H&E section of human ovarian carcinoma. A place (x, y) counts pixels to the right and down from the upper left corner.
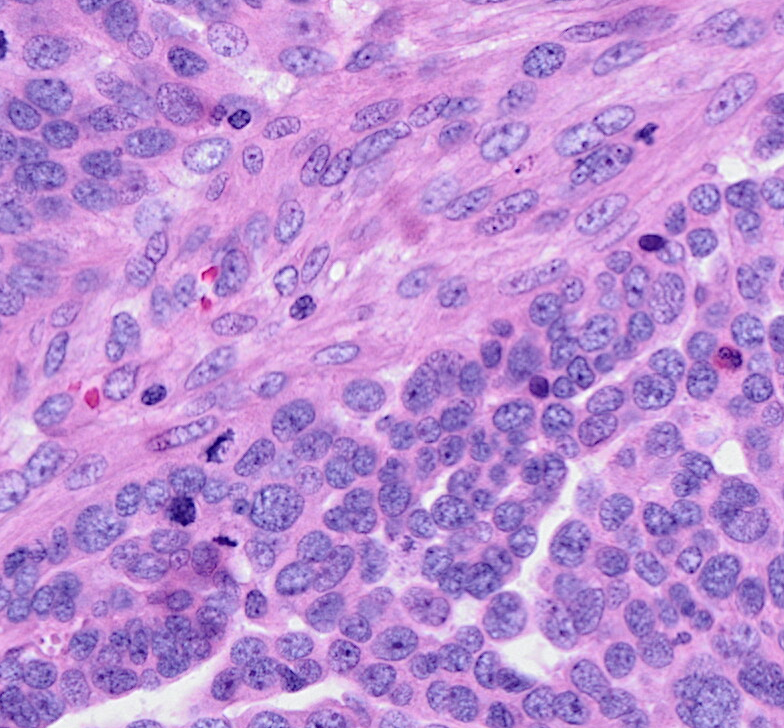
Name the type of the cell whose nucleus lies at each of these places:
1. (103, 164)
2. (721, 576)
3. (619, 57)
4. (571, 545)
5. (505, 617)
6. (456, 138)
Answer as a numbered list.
1. carcinoma cell
2. carcinoma cell
3. fibroblast
4. carcinoma cell
5. carcinoma cell
6. fibroblast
